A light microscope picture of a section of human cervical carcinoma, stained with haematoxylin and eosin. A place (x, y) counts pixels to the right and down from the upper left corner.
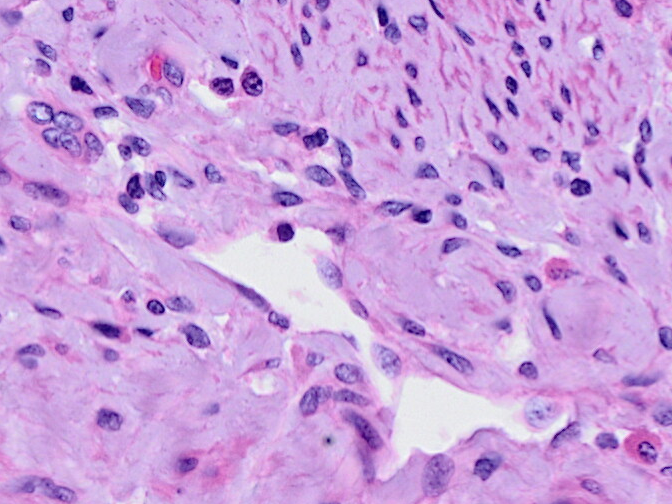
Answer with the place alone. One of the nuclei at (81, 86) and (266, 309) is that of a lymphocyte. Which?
(81, 86)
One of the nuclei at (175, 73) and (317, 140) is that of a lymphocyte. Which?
(317, 140)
